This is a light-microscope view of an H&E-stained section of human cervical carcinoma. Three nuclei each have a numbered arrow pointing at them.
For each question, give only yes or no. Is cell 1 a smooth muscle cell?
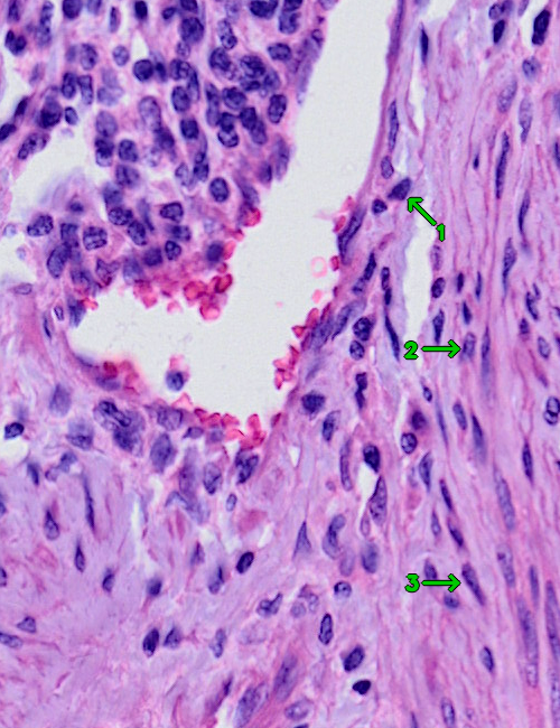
no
